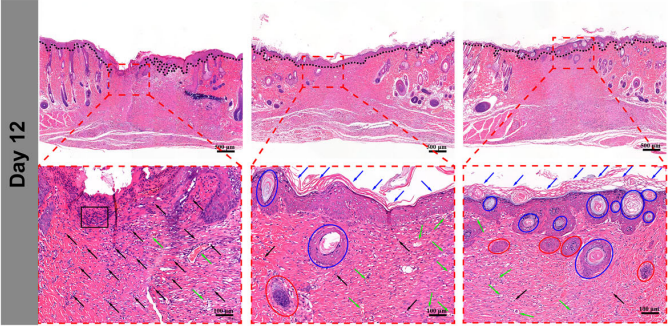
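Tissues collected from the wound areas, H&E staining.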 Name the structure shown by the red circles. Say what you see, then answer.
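Sebaceous glands. They lie near the circled round structures.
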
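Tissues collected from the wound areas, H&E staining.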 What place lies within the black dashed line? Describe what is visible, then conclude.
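The line runs under the purple surface layer. Pink connective tissue lies below the line.
Hence: boundary of the epithelium and dermis.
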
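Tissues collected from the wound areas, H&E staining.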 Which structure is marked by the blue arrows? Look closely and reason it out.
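The arrows point to a thin, wavy, pale pink layer. This layer lies on top of the purple epidermis.
Conclusion: stratum corneum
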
